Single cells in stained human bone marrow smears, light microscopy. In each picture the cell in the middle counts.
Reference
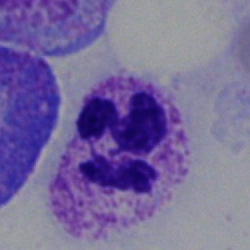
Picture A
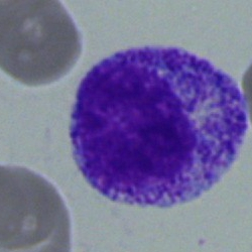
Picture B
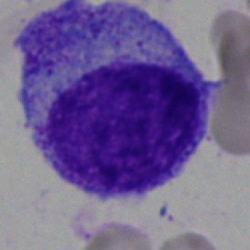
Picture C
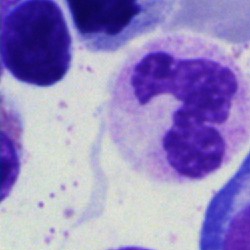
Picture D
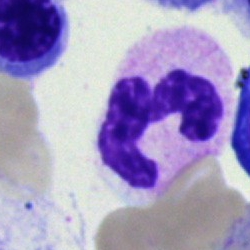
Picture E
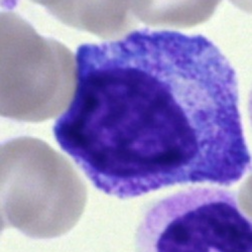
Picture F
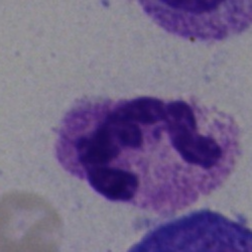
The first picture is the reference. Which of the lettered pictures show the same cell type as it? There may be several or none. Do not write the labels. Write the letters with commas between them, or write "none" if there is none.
C, D, F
